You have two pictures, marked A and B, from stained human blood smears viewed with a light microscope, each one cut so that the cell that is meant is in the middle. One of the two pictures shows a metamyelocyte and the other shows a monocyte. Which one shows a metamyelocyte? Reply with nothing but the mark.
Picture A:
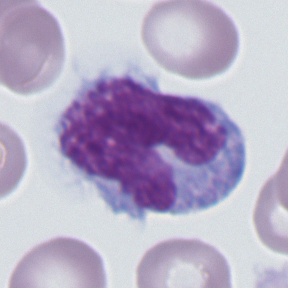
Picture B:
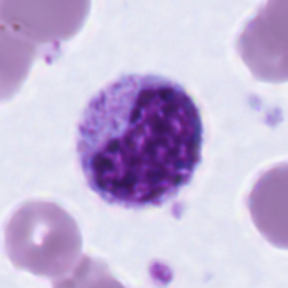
B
